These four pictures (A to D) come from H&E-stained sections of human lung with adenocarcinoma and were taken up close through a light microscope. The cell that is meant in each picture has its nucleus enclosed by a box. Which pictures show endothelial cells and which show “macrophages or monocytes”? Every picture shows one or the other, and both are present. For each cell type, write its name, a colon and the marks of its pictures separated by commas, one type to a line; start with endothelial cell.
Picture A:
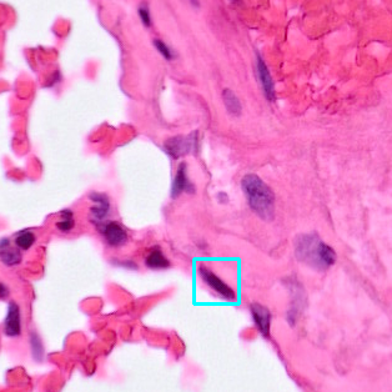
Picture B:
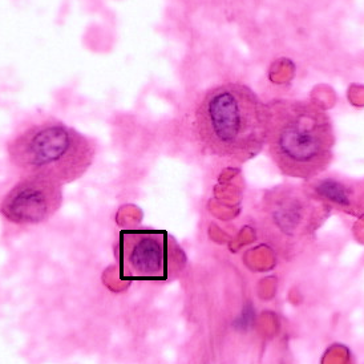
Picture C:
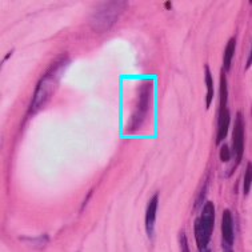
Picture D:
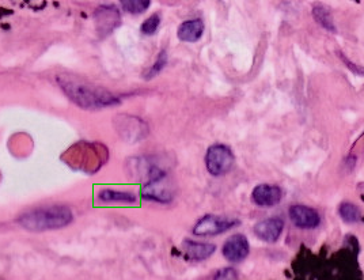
endothelial cell: A, C, D
macrophage or monocyte: B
